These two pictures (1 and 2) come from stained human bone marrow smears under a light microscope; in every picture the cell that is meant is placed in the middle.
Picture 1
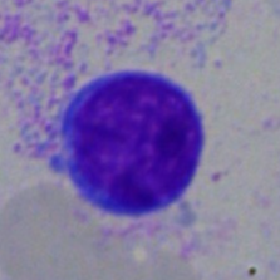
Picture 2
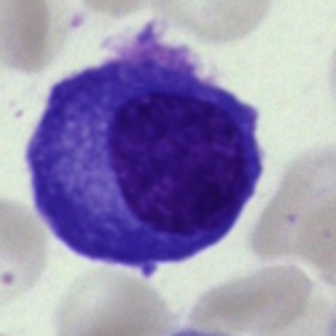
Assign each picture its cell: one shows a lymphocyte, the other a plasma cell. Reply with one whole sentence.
Picture 1 is of a lymphocyte, and picture 2 is of a plasma cell.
